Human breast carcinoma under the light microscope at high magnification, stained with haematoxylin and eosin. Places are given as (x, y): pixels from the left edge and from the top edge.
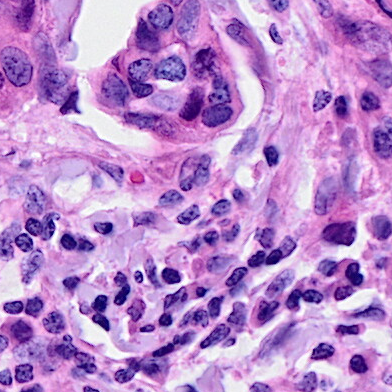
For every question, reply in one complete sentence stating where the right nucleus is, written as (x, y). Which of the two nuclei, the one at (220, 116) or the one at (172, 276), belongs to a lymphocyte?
The pair contains one nucleus of a lymphocyte, namely the one at (172, 276).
